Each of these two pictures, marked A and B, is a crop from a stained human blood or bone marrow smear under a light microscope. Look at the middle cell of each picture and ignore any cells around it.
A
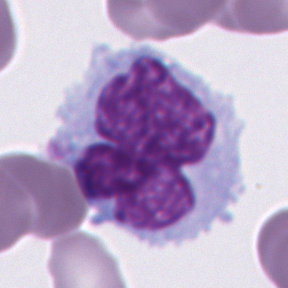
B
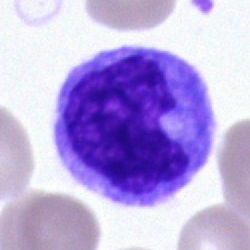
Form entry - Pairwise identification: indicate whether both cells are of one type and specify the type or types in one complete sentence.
Yes, both crops contain monocytes at their centres.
